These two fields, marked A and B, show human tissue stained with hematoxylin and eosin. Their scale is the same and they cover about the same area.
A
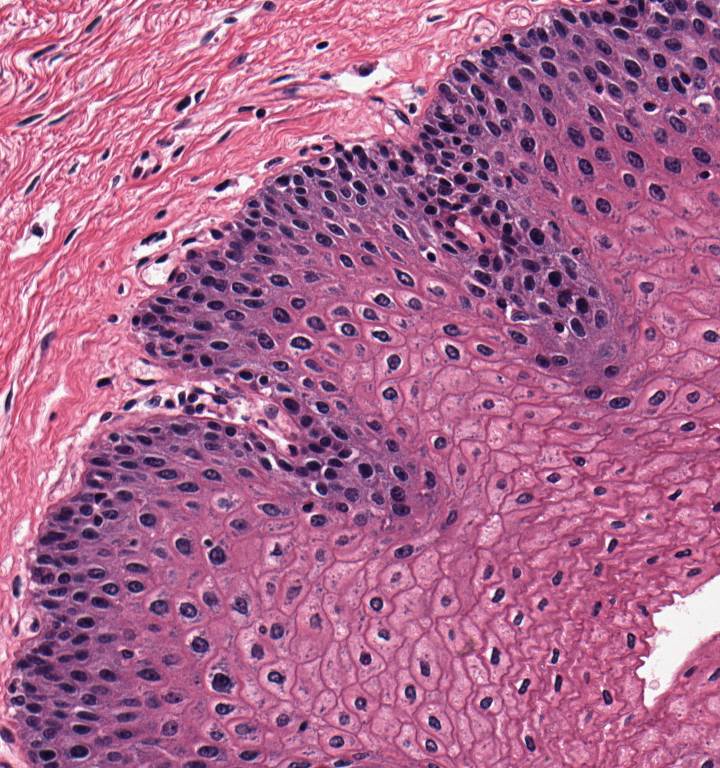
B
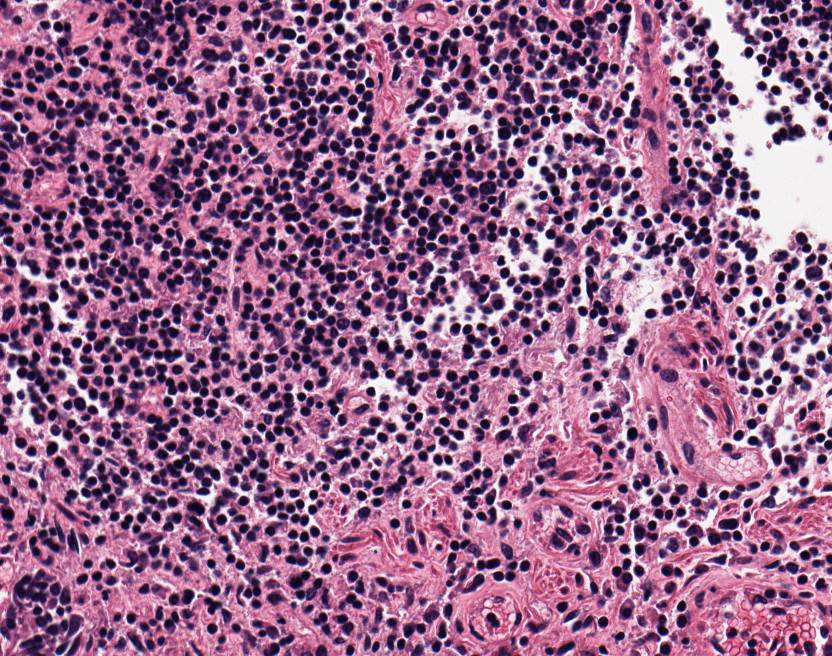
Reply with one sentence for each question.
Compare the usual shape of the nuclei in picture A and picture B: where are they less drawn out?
Rounder nuclei lie in picture B.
